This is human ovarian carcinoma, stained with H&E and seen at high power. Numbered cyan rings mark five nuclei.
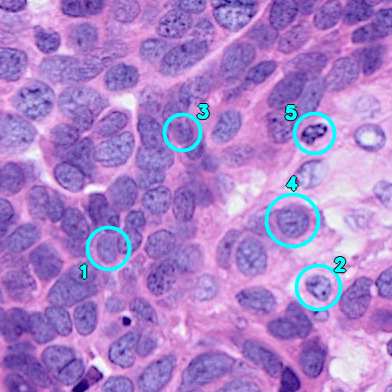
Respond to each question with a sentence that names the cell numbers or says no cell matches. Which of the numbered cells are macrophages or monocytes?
Among the marked cells, cell number 2 alone is a macrophage or monocyte.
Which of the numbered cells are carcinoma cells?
The cells with the number labels 1, 3 and 4 are carcinoma cells.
